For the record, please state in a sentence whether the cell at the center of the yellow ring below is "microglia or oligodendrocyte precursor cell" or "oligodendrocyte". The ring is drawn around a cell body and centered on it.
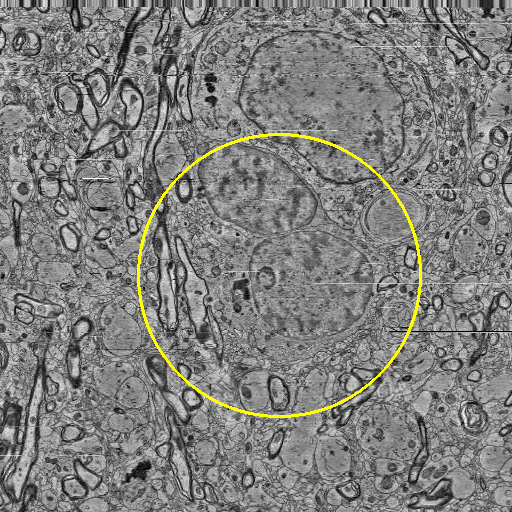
The cell at the ring's center is an oligodendrocyte.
